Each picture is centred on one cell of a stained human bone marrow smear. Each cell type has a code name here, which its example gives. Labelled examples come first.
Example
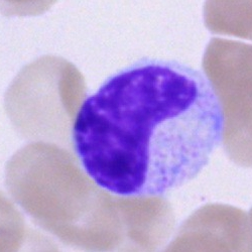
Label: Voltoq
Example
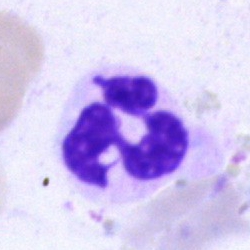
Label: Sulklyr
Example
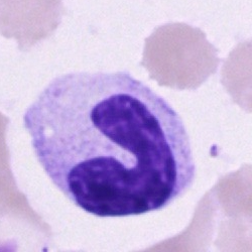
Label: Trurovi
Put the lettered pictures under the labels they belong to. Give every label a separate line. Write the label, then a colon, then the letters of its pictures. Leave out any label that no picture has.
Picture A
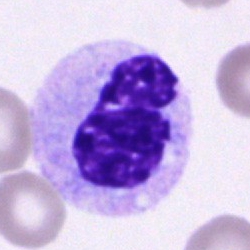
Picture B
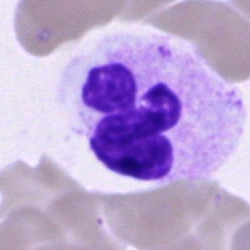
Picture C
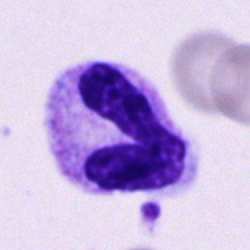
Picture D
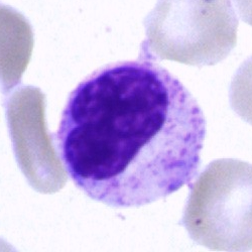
Voltoq: D
Sulklyr: A, B
Trurovi: C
